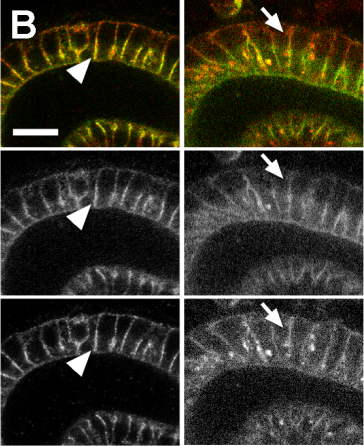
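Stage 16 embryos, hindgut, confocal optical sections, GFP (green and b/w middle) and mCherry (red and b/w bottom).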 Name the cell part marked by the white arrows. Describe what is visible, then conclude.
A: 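The arrows point to bright lines running between neighbouring columnar cells. These lines run perpendicular to the epithelial surface. On this evidence: lateral membrane.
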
